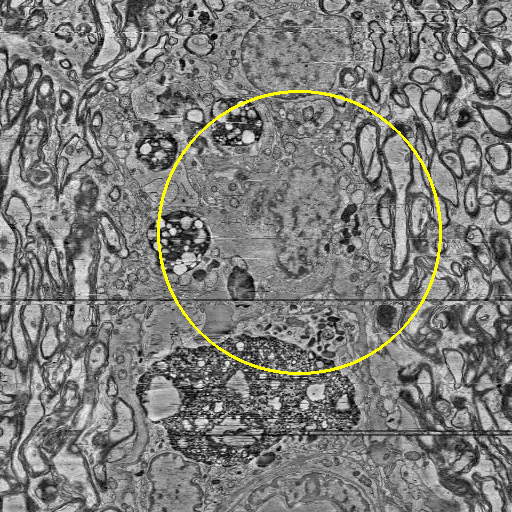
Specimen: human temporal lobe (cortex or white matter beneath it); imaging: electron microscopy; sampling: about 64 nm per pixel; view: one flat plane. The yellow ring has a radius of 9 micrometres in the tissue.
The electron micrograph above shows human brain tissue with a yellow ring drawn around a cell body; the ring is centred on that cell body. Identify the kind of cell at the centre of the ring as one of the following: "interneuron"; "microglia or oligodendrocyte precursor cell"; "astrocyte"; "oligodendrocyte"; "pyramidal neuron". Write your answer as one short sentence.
The cell at the centre of the ring is an astrocyte.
